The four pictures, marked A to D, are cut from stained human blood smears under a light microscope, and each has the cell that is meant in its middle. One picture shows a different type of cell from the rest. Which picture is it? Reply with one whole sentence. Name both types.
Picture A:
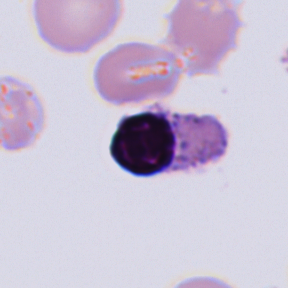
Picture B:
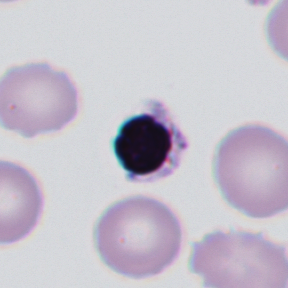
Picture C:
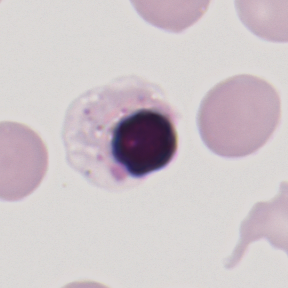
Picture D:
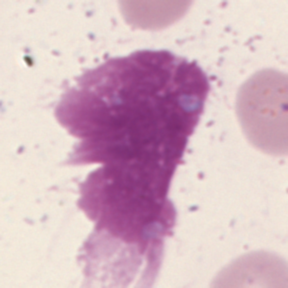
Picture D differs, because its cell is a smudge cell and the rest are normoblasts.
